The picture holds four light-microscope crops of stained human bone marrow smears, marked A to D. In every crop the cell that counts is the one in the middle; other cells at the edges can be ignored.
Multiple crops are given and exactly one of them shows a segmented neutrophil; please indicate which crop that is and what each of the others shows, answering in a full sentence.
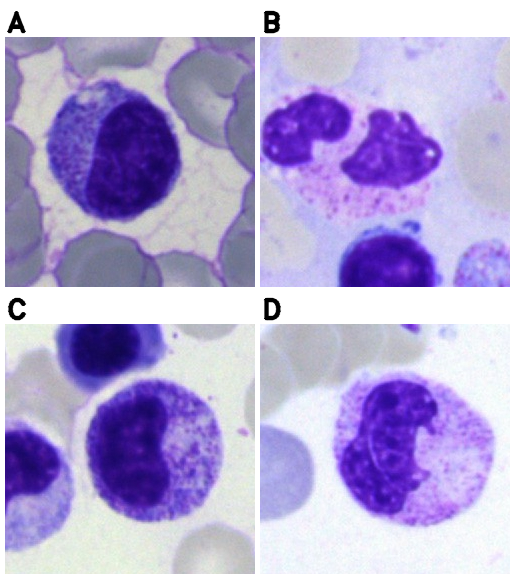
Crop B shows a segmented neutrophil, while crop A is a myelocyte, crop C is a metamyelocyte and crop D is a band neutrophil.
